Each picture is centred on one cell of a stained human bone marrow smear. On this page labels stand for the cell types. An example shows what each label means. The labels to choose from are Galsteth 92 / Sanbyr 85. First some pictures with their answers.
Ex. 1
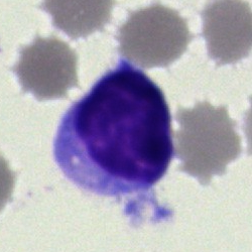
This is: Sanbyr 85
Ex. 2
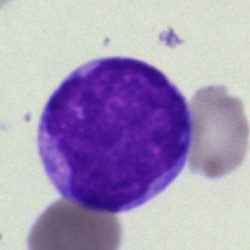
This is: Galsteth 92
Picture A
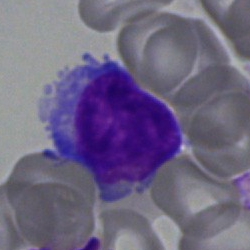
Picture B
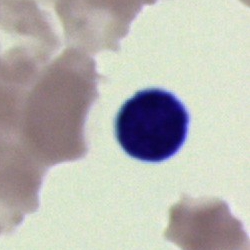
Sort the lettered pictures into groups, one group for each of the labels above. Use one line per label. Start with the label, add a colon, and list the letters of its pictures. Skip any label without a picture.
Sanbyr 85: A, B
